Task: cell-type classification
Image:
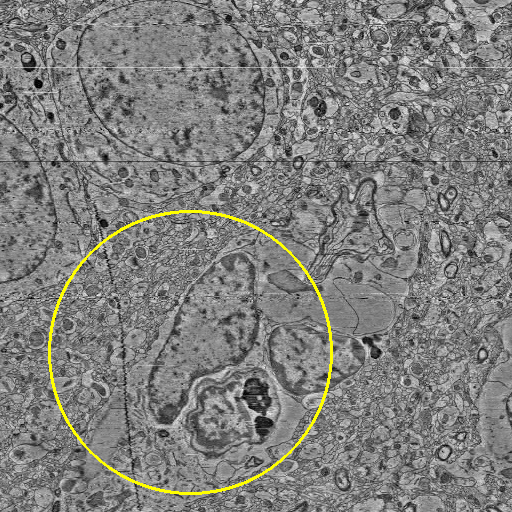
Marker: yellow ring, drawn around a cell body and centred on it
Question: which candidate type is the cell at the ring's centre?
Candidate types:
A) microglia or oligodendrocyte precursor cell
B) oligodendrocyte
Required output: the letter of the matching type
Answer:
A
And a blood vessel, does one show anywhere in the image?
Yes, a blood vessel is present in this picture.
